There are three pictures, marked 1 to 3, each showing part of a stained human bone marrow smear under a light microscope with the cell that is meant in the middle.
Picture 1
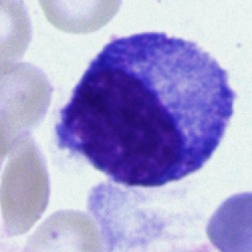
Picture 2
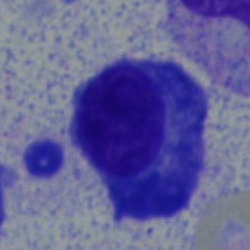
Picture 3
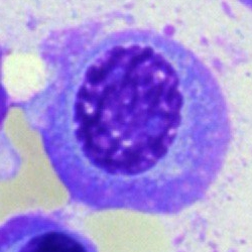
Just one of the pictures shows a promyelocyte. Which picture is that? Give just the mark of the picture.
1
